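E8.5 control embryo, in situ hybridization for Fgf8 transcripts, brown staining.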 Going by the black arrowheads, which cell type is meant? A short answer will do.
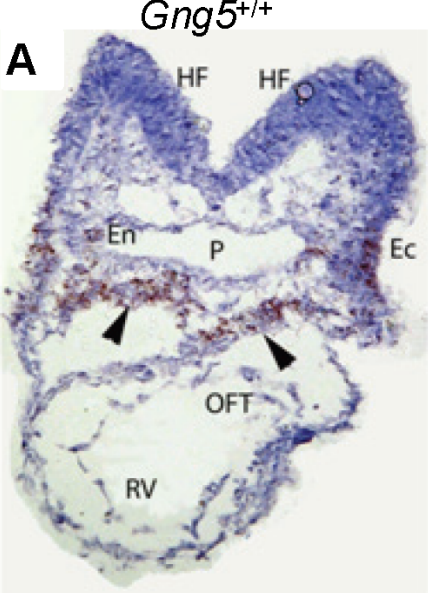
pharyngeal mesodermal cells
